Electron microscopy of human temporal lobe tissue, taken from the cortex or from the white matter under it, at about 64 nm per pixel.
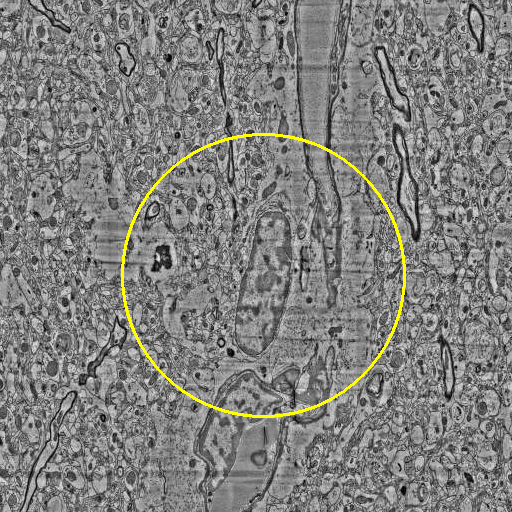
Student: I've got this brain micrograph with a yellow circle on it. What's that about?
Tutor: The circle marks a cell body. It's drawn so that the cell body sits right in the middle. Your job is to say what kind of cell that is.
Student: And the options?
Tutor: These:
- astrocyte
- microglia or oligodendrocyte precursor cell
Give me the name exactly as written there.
microglia or oligodendrocyte precursor cell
